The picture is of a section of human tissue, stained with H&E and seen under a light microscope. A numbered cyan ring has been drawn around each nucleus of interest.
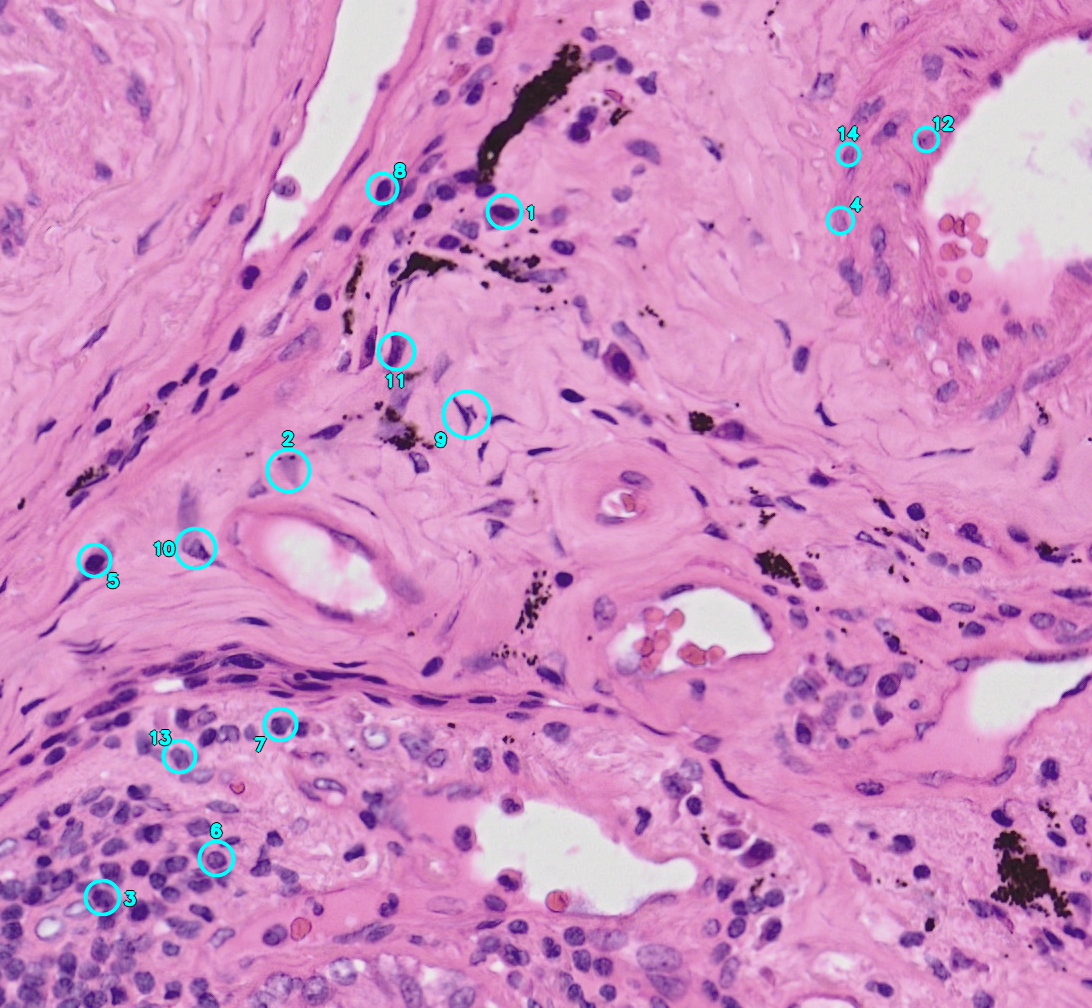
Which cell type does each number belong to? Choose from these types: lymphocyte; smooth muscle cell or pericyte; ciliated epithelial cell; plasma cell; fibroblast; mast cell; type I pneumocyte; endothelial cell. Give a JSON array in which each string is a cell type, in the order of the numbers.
["plasma cell", "fibroblast", "lymphocyte", "smooth muscle cell or pericyte", "plasma cell", "lymphocyte", "lymphocyte", "lymphocyte", "fibroblast", "fibroblast", "plasma cell", "smooth muscle cell or pericyte", "lymphocyte", "smooth muscle cell or pericyte"]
